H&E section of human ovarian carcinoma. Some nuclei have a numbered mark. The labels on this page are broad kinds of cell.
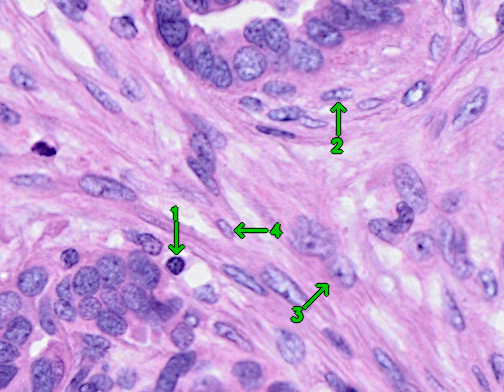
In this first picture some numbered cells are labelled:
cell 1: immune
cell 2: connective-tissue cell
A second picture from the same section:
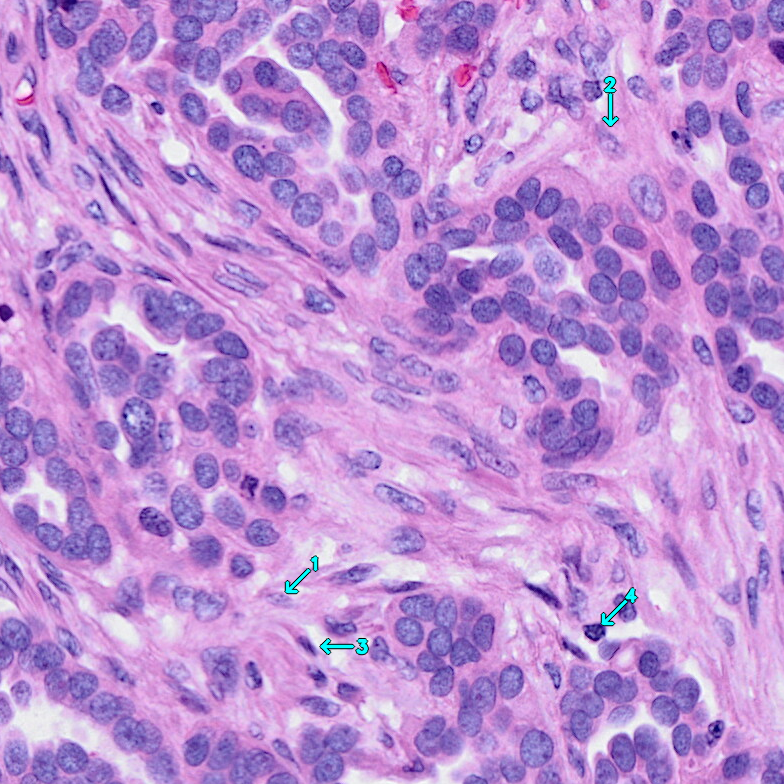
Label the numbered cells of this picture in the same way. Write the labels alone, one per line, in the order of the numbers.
connective-tissue cell
connective-tissue cell
connective-tissue cell
immune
